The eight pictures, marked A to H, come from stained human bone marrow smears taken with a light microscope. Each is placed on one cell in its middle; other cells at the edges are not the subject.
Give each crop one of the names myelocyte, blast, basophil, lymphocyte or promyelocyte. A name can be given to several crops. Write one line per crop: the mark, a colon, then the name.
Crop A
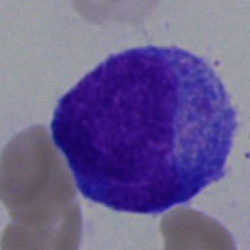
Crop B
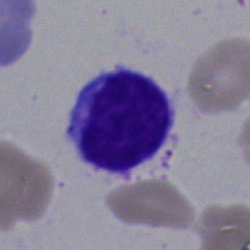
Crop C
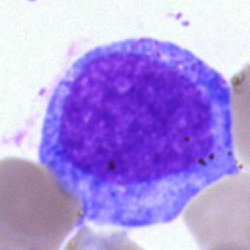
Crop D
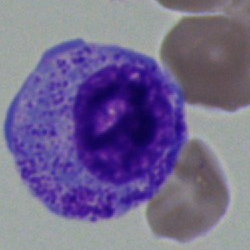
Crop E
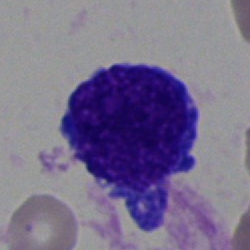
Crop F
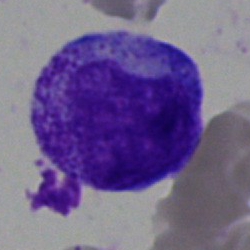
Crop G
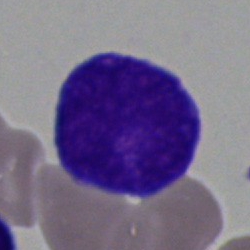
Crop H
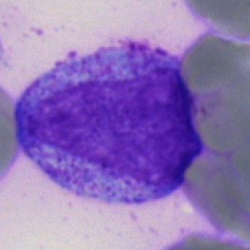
A: promyelocyte
B: lymphocyte
C: promyelocyte
D: myelocyte
E: blast
F: myelocyte
G: blast
H: myelocyte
